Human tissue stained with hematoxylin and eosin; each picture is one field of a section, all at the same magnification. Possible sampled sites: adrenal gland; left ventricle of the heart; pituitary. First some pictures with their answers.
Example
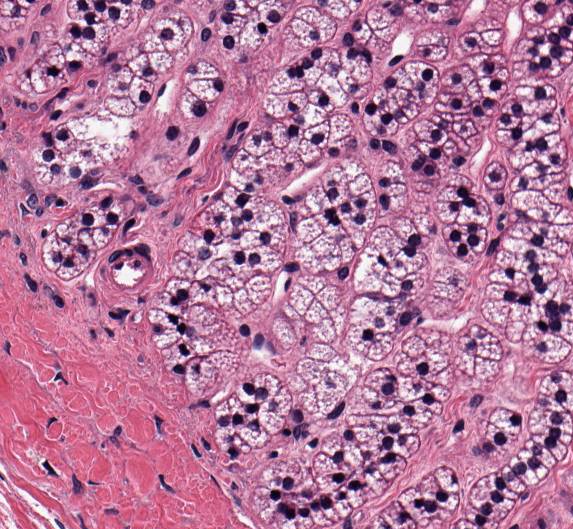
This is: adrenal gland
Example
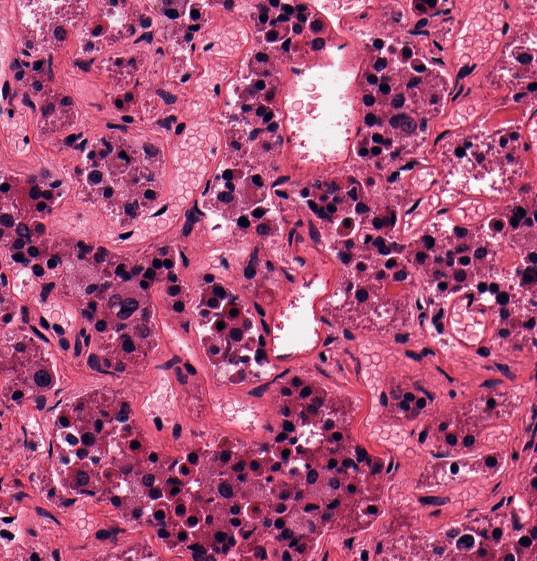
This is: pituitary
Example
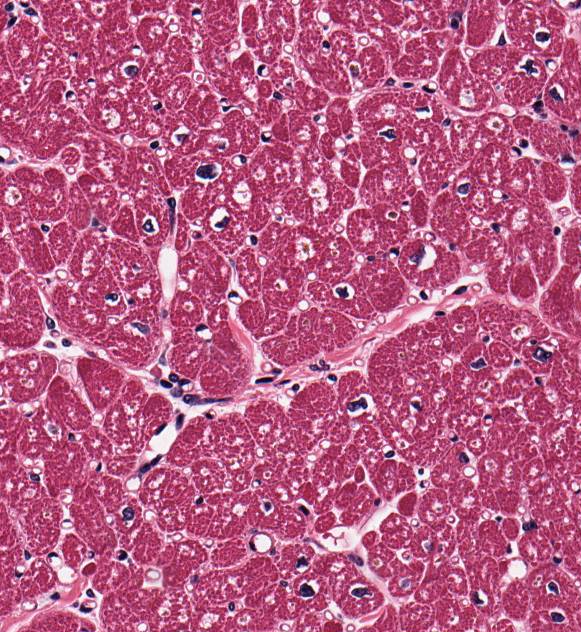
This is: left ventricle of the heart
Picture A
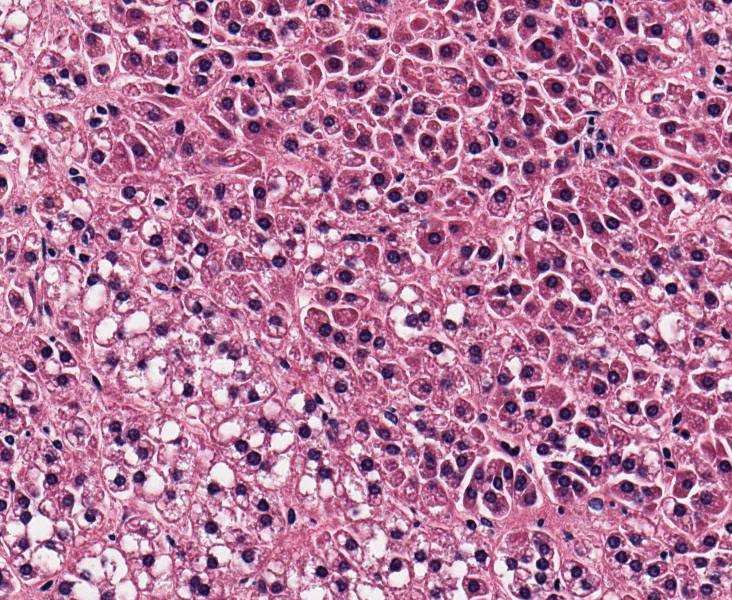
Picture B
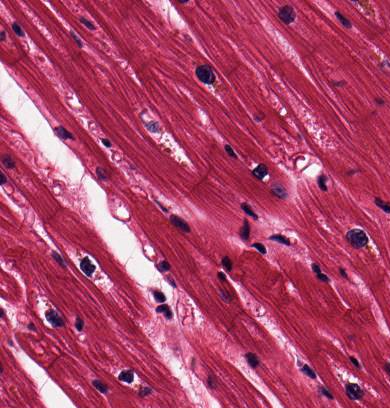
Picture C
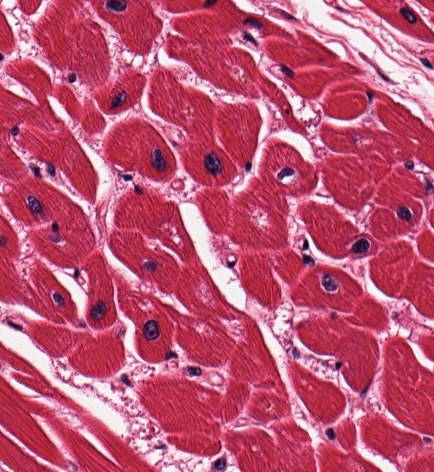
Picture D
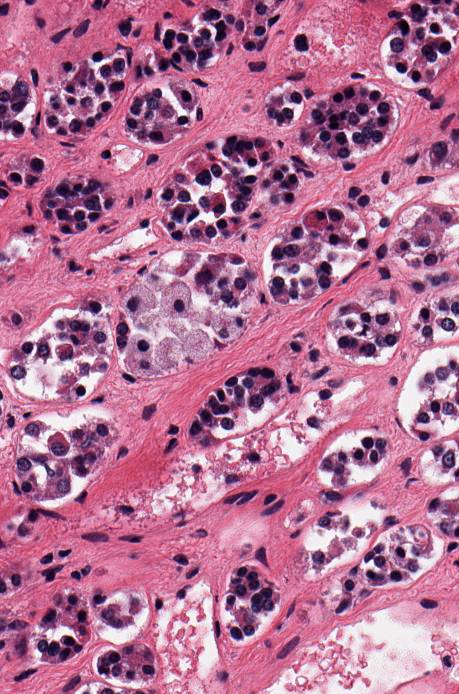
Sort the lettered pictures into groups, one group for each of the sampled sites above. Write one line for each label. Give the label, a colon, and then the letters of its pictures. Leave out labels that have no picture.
adrenal gland: A
left ventricle of the heart: B, C
pituitary: D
